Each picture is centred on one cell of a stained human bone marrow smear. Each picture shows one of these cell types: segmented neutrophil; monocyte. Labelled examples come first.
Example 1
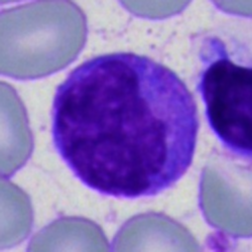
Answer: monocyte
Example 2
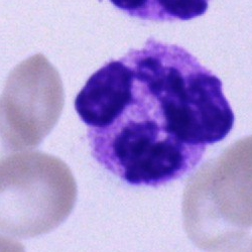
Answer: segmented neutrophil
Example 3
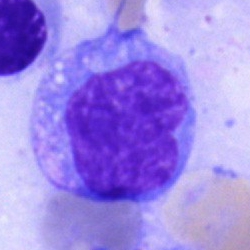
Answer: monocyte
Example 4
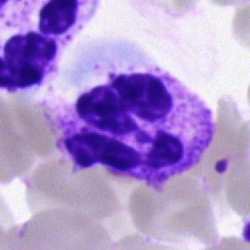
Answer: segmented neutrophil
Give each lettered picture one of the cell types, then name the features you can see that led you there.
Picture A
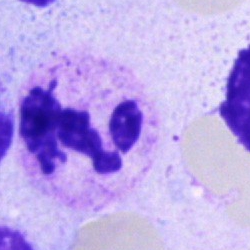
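segmented neutrophil. Evidence: The cytoplasm is plentiful and pale pinkish-lilac.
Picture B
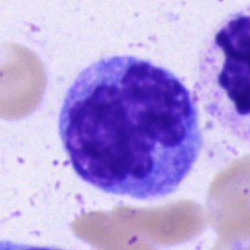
monocyte. Evidence: The nucleus fills most of the cell.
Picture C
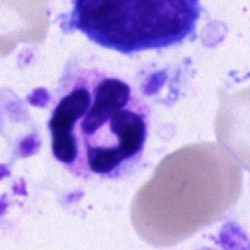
segmented neutrophil. Evidence: The cytoplasm holds fine pinkish granules rather than large coarse ones.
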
